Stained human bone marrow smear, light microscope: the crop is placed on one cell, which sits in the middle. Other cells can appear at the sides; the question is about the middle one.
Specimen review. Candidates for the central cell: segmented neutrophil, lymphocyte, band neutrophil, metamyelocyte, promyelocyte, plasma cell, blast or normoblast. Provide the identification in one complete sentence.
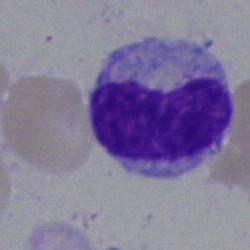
Classified as a metamyelocyte is the cell in the middle of this crop.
